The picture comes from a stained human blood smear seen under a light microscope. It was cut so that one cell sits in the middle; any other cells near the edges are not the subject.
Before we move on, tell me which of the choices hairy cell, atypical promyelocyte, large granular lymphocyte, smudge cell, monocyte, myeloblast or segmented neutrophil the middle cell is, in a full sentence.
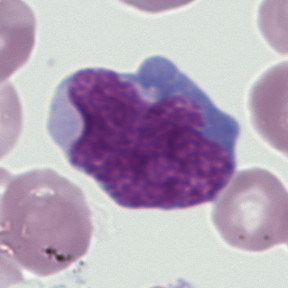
The cell around which this crop is centred is a myeloblast.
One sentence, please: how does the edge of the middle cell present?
This cell has an uneven outline, either ragged or bearing projections.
